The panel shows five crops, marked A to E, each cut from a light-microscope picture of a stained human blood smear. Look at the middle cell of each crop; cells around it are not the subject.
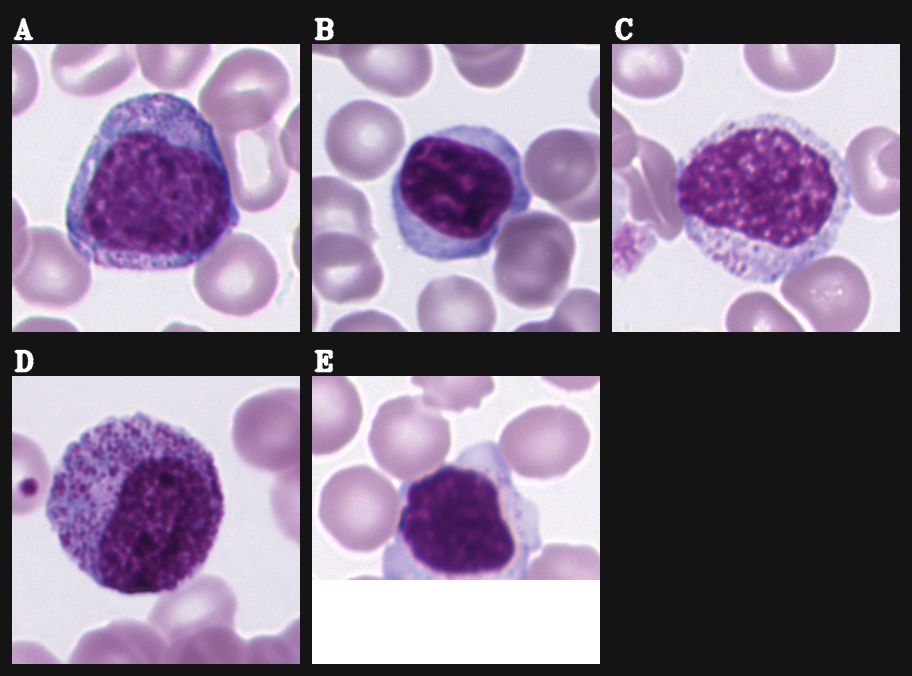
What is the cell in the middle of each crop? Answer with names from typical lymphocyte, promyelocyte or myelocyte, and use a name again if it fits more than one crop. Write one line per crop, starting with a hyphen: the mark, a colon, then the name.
- A: promyelocyte
- B: typical lymphocyte
- C: myelocyte
- D: promyelocyte
- E: typical lymphocyte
